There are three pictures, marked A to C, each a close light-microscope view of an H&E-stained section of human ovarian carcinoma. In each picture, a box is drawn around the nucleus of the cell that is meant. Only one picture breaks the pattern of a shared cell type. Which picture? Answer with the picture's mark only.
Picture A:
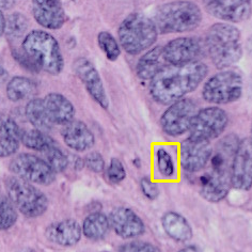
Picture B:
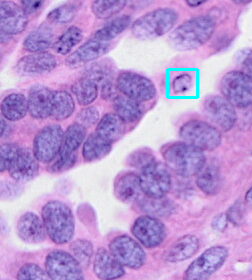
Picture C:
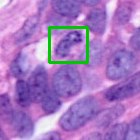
A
